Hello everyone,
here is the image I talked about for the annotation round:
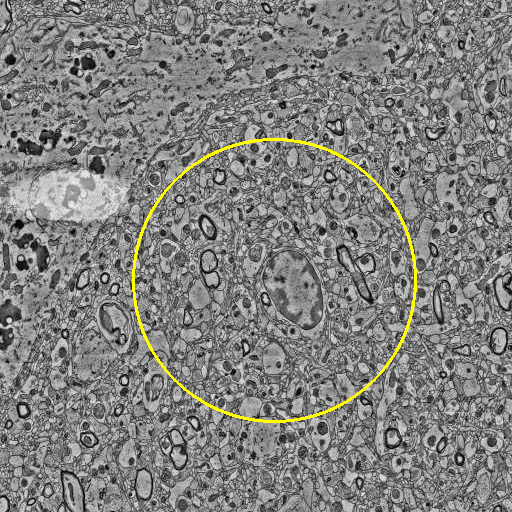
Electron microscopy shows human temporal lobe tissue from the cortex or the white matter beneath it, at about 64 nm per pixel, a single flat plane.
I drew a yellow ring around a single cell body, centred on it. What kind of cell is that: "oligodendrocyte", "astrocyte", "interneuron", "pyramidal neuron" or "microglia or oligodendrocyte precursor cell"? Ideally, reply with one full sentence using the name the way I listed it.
The cell your yellow ring is centred on is a microglial cell or oligodendrocyte precursor cell, going by your list.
